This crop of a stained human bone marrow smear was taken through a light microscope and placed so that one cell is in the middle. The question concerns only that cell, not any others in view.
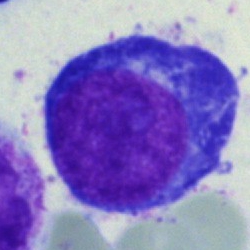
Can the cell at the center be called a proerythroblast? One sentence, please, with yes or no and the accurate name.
Yes, the cell in the middle of the view is a proerythroblast.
